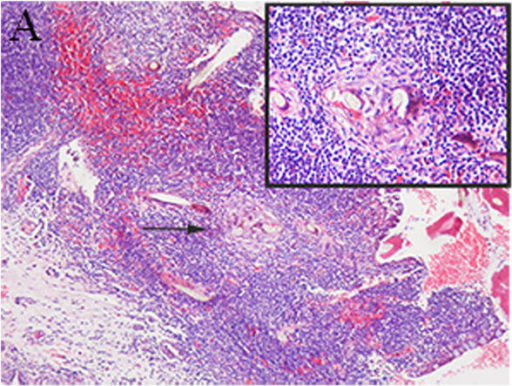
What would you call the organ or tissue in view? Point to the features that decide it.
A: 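Granulation tissue. Dense sheets of small dark-blue nucleated cells fill most of the field. Red areas of blood lie among the cellular tissue.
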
